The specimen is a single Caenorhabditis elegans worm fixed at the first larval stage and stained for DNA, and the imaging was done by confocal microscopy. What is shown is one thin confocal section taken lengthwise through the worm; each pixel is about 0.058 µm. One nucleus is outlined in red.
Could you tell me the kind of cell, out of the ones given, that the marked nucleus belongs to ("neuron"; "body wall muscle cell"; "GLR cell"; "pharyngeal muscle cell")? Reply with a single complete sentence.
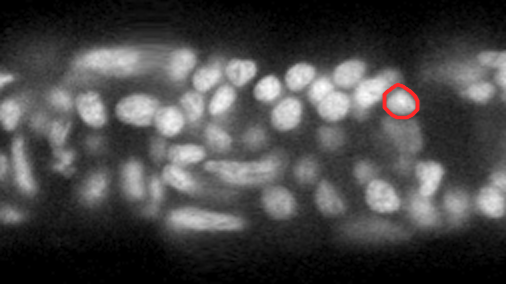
It belongs to a GLR cell.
